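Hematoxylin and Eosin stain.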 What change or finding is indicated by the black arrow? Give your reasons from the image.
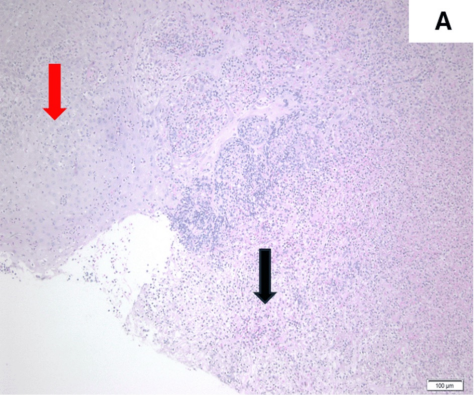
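The black arrow points to a loose pink area with scattered small dark nuclei next to an empty space at the surface. No covering epithelial layer lies over the area the arrow marks. That points to this answer: ulcerative focus.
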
